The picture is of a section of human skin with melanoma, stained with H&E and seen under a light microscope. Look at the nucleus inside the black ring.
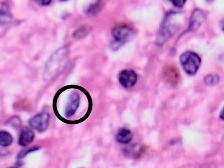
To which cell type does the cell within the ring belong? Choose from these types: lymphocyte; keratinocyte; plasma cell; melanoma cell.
lymphocyte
